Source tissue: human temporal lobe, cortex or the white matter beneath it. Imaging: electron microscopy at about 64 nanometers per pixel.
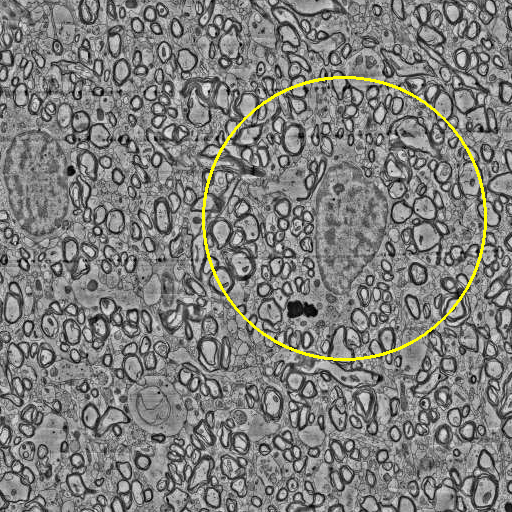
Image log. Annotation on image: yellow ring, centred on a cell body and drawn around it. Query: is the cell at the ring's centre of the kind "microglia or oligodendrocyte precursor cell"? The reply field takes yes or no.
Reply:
no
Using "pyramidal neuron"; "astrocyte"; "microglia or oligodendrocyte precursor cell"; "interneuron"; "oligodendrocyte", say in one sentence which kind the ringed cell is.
In this picture, the ring is centred on an oligodendrocyte.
